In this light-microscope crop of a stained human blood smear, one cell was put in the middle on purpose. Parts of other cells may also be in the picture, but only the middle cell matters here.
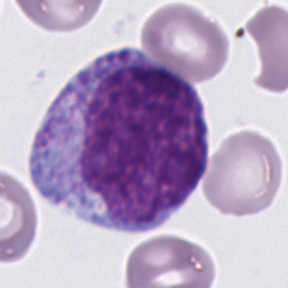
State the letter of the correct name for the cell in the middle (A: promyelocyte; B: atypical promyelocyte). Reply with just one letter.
A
